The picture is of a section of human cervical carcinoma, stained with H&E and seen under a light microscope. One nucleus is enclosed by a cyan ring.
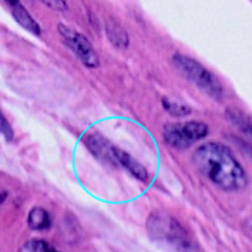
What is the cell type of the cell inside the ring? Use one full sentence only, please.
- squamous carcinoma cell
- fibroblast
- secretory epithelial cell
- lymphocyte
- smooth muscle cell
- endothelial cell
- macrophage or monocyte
In the stained section, the cell inside the ring is a fibroblast.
